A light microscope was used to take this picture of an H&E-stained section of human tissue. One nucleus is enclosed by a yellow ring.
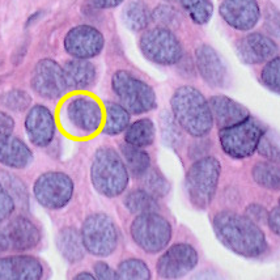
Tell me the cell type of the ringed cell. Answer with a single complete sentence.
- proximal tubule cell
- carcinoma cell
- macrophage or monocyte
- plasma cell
Histopathologically, the ringed cell is a carcinoma cell.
